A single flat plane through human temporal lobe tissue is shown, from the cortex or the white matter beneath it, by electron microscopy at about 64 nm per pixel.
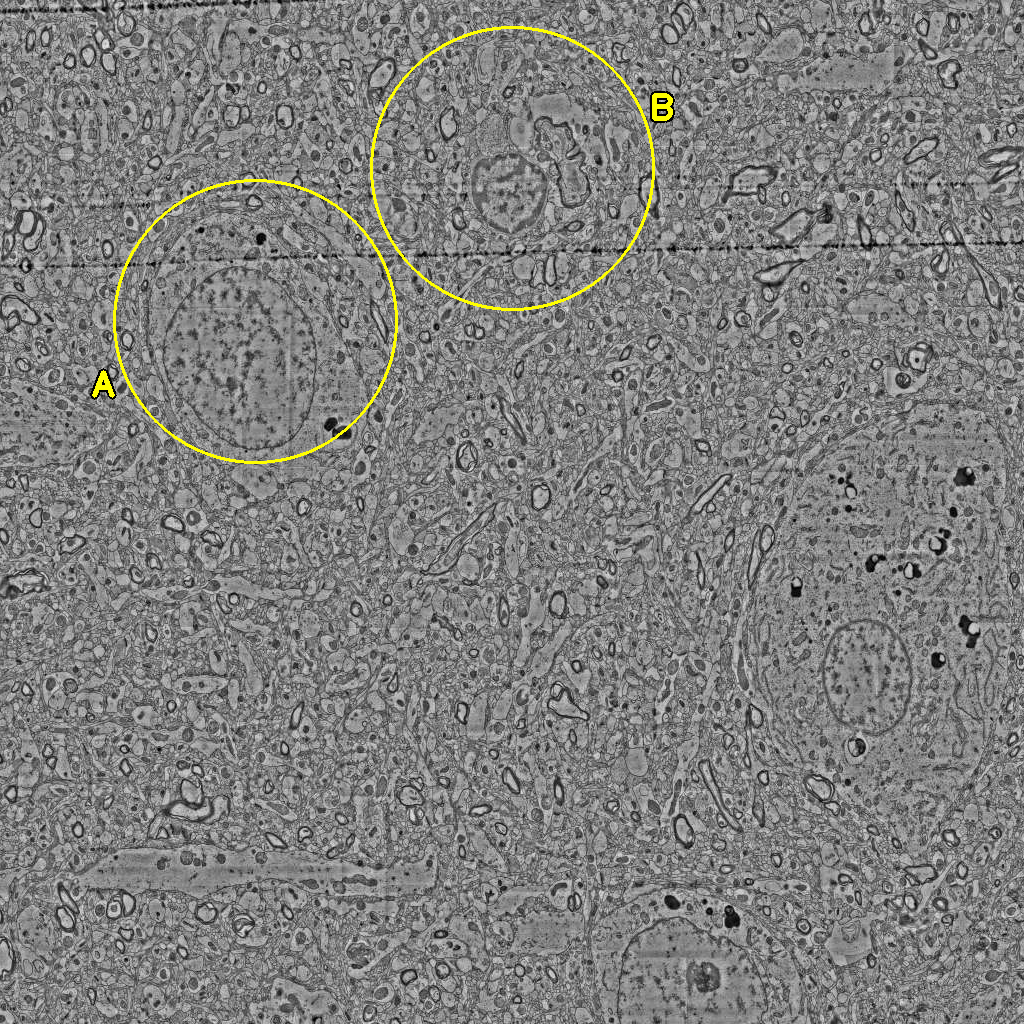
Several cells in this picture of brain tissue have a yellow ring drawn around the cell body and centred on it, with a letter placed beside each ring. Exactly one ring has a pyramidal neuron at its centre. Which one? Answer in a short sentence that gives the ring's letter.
Ring A is centred on it.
